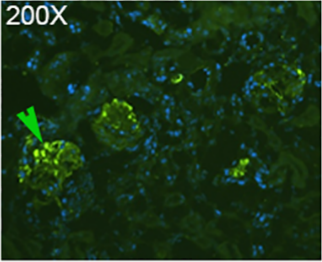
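This is kidney cortex in which a few glomeruli appear as rounded tufts with bright green granular and lobular deposits. The surrounding tubules show scattered blue nuclei against a dim greenish background. The deposits follow the lobulated outline of the glomerular tuft rather than the tubules.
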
